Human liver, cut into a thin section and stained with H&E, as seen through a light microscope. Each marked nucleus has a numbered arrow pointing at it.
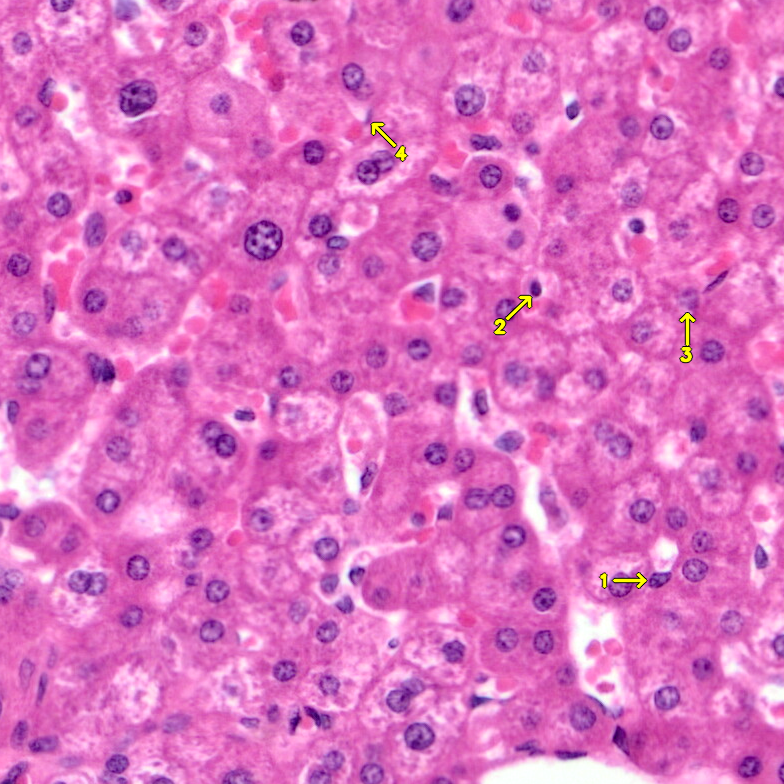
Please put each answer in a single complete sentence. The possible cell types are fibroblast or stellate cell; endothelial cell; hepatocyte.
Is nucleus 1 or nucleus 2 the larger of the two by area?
The larger nucleus is 1, at roughly 1.5 times the area of 2.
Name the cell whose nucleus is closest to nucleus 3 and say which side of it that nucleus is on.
It is an endothelial cell, whose nucleus lies above and to the right of nucleus 3.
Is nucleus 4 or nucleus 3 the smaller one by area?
It is nucleus 4; nucleus 3 has about 3 times its area.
